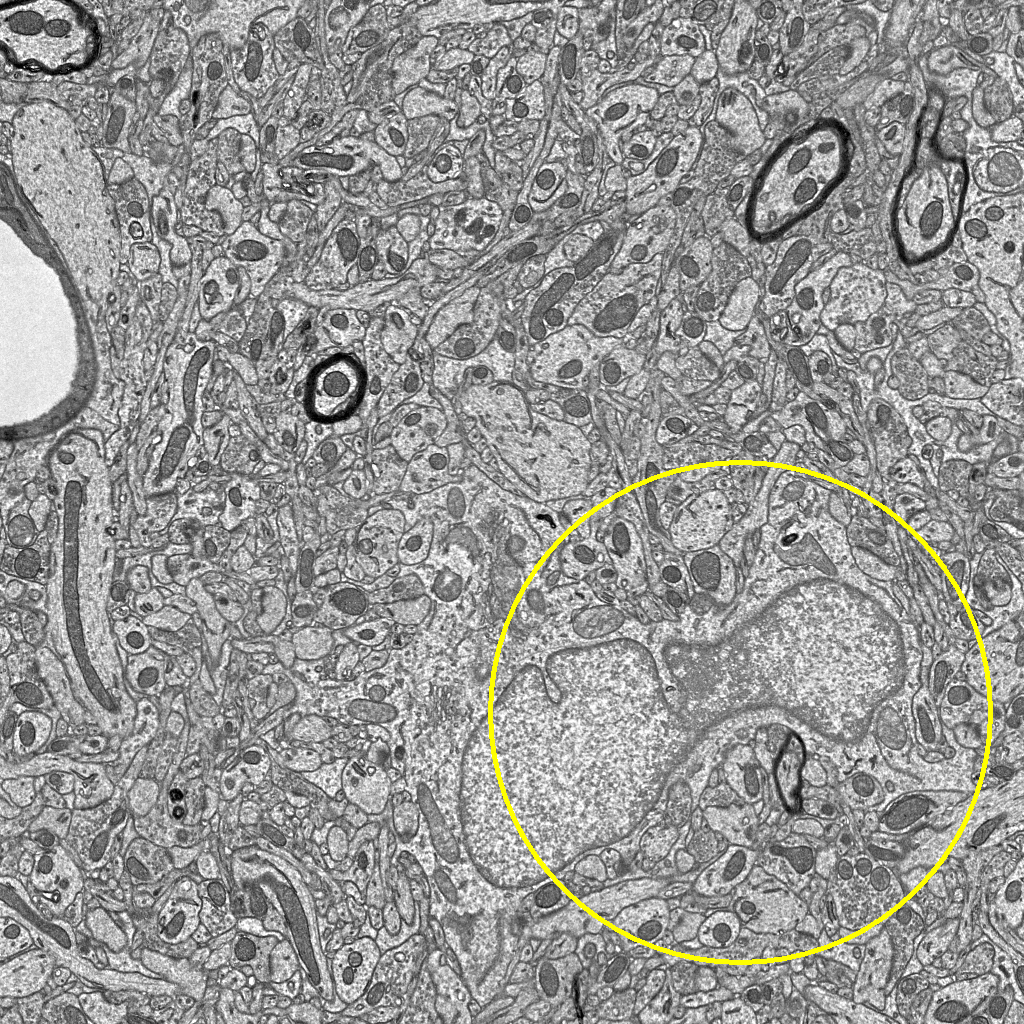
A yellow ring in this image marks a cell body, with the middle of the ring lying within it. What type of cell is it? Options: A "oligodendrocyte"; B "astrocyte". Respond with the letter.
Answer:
B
